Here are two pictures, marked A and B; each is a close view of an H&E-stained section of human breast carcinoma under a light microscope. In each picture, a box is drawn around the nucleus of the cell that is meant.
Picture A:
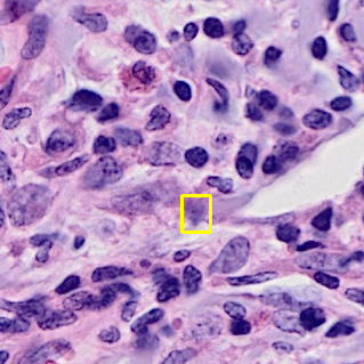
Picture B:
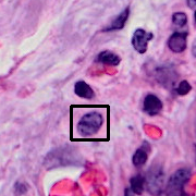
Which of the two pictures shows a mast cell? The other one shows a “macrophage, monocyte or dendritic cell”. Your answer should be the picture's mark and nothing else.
B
